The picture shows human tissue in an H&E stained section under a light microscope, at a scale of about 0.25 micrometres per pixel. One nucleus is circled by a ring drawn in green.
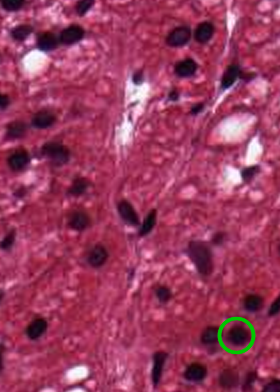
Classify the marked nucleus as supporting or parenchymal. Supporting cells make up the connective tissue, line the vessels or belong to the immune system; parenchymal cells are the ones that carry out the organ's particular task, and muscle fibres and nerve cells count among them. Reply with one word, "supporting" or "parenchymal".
parenchymal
